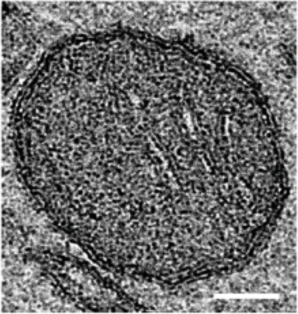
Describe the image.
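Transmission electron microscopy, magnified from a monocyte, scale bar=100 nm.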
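The inside is finely granular, the matrix. A few faint, lighter, line-like folds run across it; these are cristae. Around the organelle lies the granular texture of the surrounding cytoplasm.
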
